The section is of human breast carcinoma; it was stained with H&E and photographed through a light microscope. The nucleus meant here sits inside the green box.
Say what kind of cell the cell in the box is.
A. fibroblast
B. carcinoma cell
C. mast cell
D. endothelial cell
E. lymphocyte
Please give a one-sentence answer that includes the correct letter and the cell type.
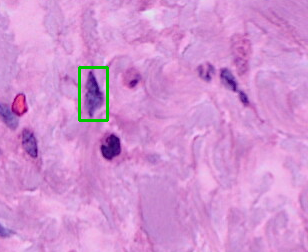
Option A is right in classifying the cell in the box as a fibroblast.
